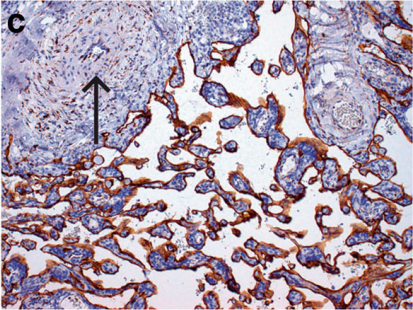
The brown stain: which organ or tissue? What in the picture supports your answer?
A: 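Endothelium. Brown stain lines the thin-walled channels. Brown stain follows the edges of the spaces around blue-stained stroma.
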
